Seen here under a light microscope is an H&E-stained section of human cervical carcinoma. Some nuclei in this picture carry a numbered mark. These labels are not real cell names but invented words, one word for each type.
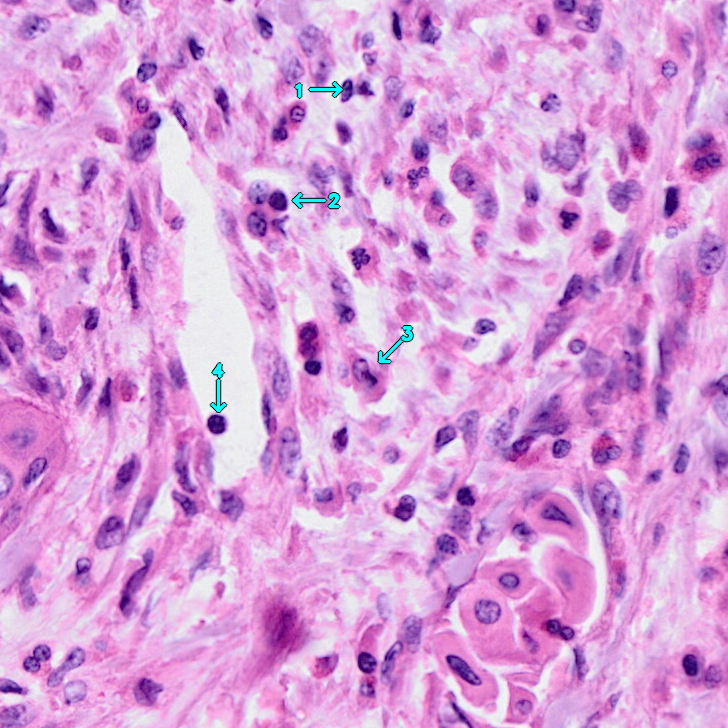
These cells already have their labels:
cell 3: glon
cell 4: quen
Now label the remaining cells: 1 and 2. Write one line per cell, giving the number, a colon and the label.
1: quen
2: quen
